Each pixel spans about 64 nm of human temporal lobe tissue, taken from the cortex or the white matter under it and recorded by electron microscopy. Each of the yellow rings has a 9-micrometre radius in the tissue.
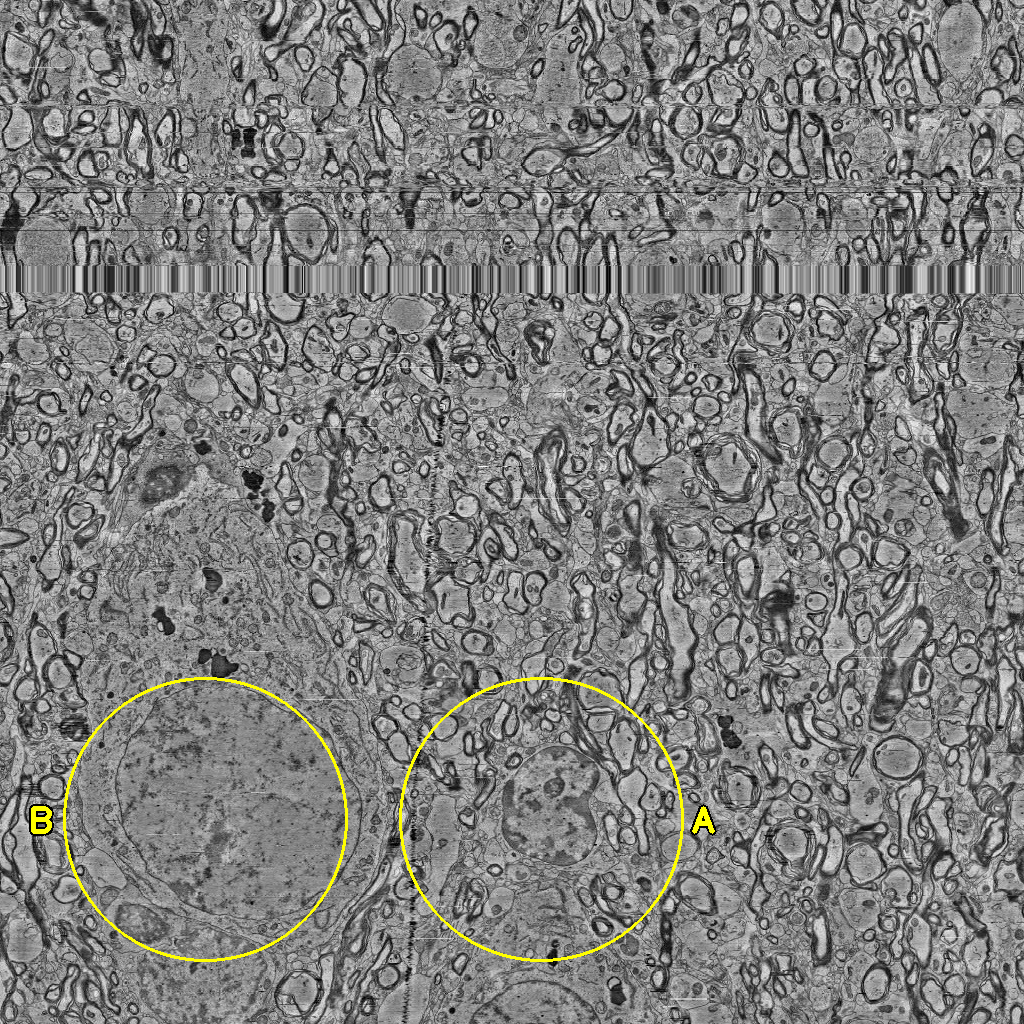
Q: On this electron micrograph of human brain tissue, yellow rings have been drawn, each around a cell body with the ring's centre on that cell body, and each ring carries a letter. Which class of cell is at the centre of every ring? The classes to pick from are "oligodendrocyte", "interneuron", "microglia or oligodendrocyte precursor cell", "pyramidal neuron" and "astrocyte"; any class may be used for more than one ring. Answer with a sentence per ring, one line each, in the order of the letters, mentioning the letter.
The centre of ring A is occupied by a microglial cell or oligodendrocyte precursor cell.
The centre of ring B is occupied by an interneuron.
